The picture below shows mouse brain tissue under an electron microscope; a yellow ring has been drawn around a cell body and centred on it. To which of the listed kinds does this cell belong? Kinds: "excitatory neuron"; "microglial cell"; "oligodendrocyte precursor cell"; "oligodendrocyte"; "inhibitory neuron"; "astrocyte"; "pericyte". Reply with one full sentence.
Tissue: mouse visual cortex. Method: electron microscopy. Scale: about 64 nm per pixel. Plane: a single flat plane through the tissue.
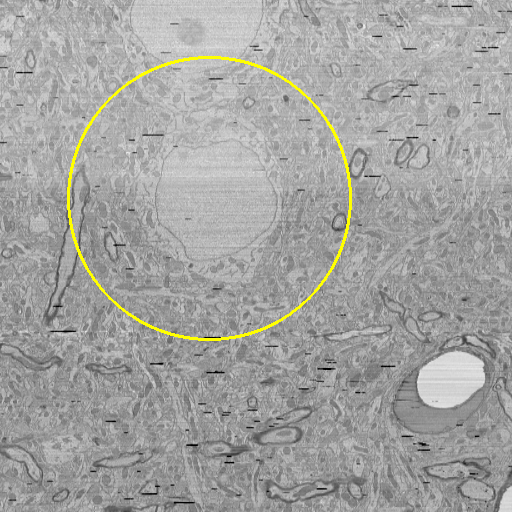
It is an excitatory neuron that the yellow ring in the picture is centred on.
